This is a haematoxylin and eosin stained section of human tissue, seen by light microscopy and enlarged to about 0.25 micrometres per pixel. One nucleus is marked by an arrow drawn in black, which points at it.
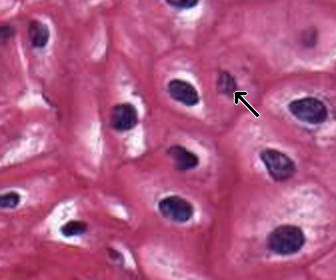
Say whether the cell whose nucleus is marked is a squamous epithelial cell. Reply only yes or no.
yes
